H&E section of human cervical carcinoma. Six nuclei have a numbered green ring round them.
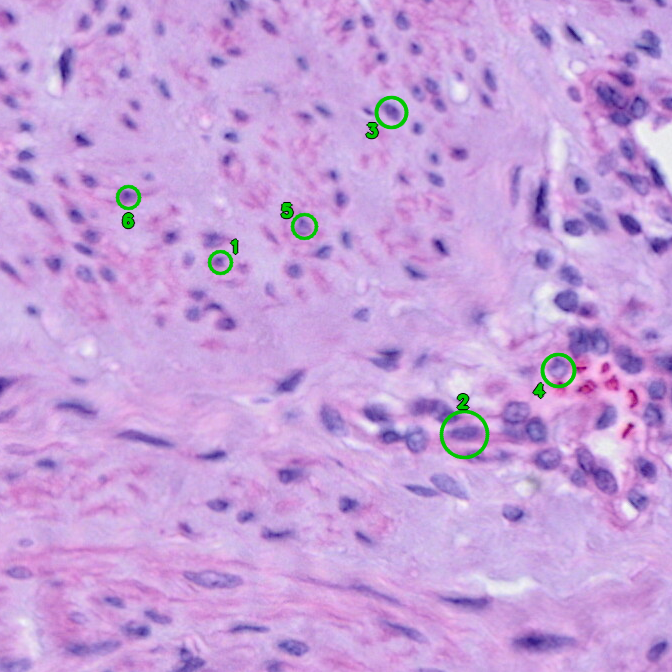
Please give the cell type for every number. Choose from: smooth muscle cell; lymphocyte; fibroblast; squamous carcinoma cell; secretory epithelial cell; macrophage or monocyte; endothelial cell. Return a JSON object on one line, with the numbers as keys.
{"1": "smooth muscle cell", "2": "endothelial cell", "3": "fibroblast", "4": "endothelial cell", "5": "smooth muscle cell", "6": "smooth muscle cell"}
